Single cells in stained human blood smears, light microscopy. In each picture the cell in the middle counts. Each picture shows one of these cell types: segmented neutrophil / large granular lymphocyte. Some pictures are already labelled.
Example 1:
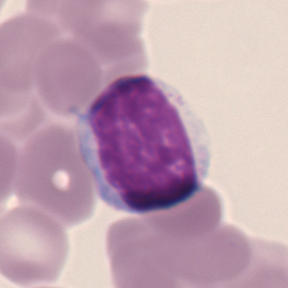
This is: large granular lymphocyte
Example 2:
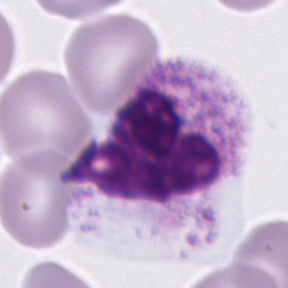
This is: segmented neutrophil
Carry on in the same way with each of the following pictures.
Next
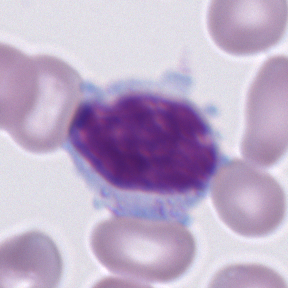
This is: large granular lymphocyte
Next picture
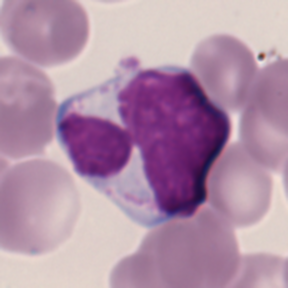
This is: large granular lymphocyte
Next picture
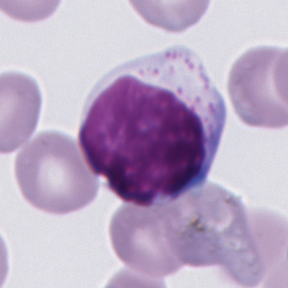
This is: large granular lymphocyte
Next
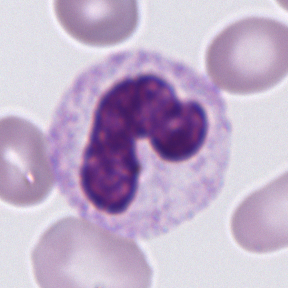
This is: segmented neutrophil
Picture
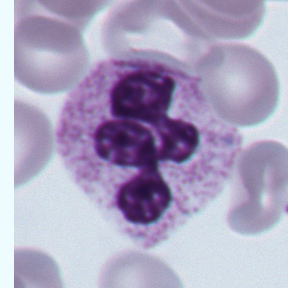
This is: segmented neutrophil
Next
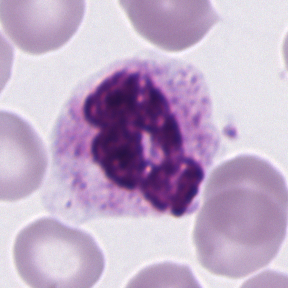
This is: segmented neutrophil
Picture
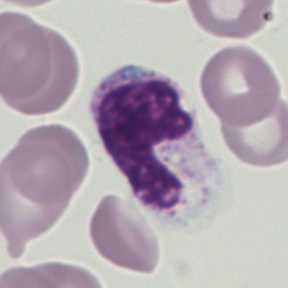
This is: segmented neutrophil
